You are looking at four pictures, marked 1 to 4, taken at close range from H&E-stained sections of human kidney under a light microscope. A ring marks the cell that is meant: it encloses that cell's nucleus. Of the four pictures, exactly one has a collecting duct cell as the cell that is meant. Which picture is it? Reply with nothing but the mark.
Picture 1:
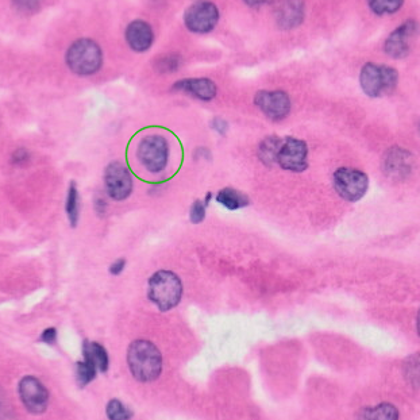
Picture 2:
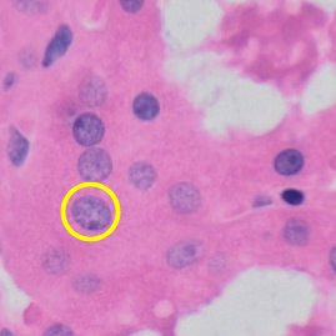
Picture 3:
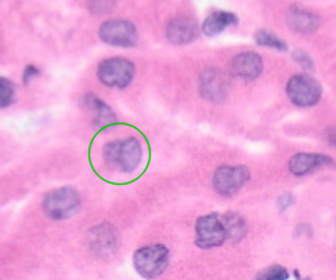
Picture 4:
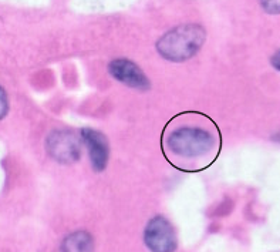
1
